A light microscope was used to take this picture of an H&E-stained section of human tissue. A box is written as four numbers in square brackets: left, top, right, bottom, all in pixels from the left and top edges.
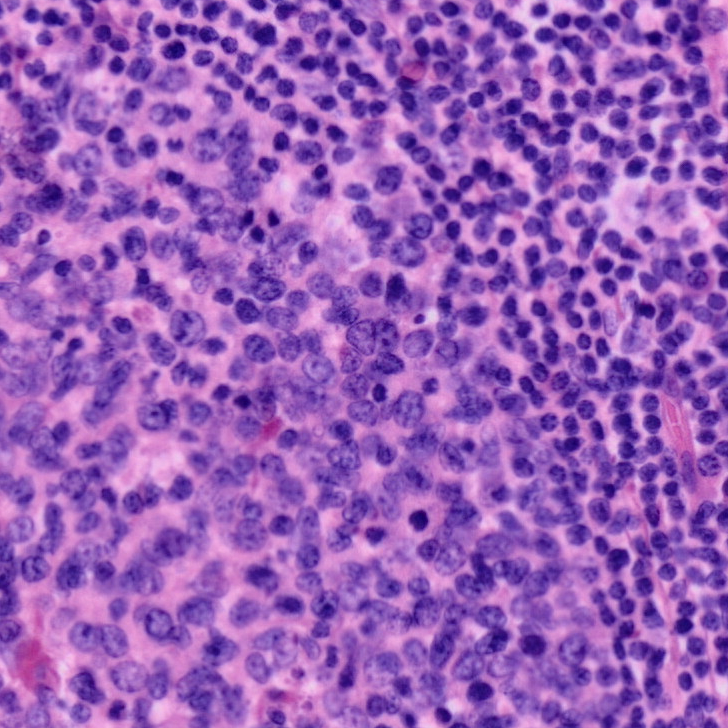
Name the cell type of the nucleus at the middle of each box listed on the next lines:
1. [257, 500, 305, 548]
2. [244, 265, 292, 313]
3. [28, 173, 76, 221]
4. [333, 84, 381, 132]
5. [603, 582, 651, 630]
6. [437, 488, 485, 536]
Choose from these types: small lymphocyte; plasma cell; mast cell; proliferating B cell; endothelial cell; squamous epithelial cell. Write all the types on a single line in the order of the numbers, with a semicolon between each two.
proliferating B cell; proliferating B cell; proliferating B cell; small lymphocyte; small lymphocyte; proliferating B cell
